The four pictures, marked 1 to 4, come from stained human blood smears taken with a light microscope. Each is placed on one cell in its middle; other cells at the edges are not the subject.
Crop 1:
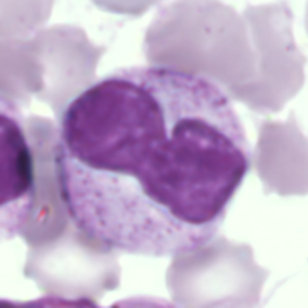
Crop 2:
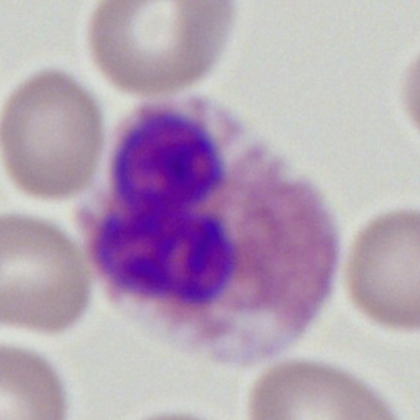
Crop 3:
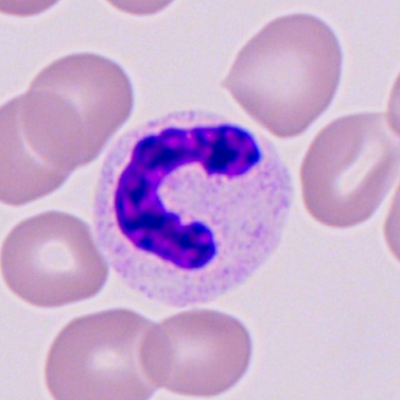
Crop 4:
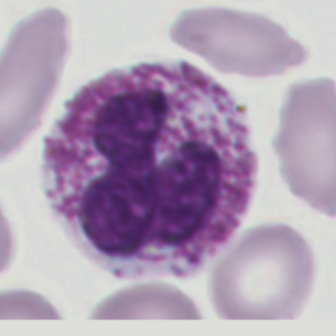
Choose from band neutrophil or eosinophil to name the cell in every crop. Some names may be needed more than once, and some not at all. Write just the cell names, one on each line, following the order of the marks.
band neutrophil
eosinophil
band neutrophil
eosinophil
